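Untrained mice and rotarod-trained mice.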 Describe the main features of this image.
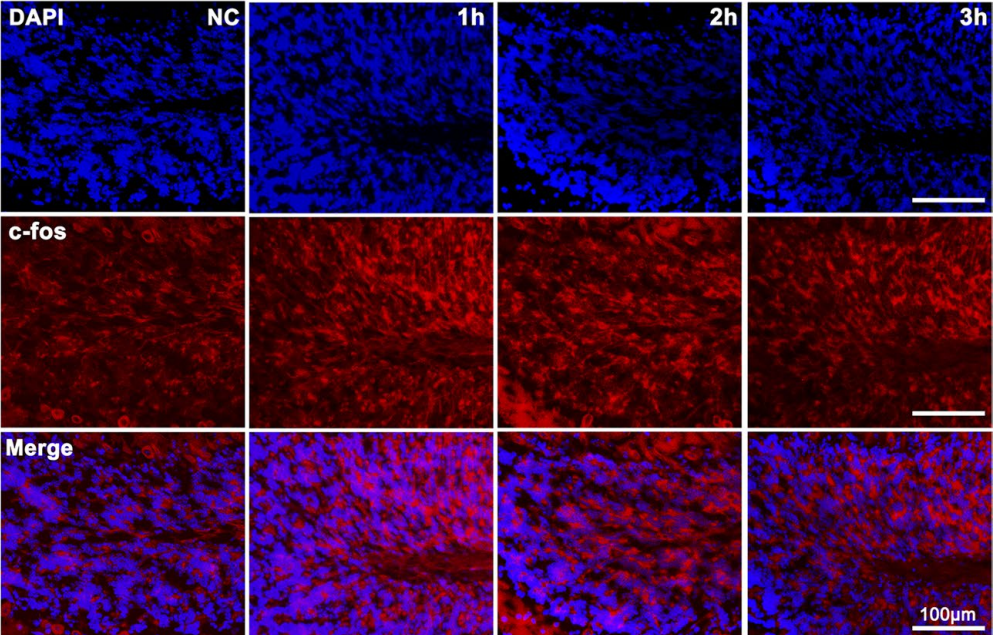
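The red stain outlines many small cell bodies, some as rings or short elongated shapes, spread throughout the crowded field. Some images include a darker band crossing the field where cells are sparser.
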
